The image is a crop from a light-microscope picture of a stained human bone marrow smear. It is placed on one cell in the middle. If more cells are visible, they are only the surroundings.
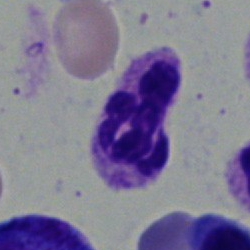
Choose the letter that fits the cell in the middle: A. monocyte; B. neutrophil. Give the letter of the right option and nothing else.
B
